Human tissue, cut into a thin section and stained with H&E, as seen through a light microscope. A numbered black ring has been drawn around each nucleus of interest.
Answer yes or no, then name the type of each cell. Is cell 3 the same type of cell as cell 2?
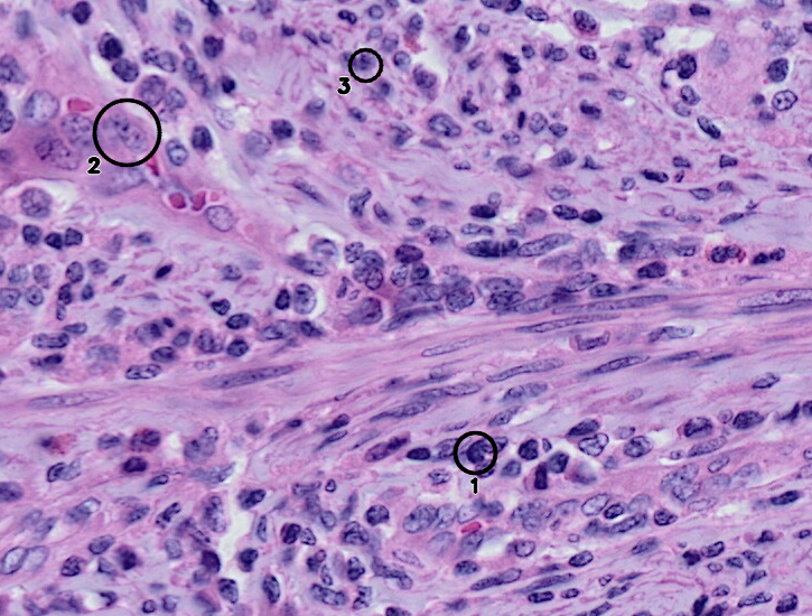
No, cell 3 is typed as a lymphocyte, and cell 2 is typed as an endothelial cell.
